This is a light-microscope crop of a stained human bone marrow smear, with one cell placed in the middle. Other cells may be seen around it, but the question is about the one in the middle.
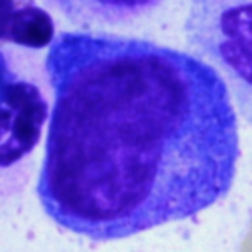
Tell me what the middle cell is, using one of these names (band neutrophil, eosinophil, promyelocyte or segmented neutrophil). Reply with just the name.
promyelocyte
